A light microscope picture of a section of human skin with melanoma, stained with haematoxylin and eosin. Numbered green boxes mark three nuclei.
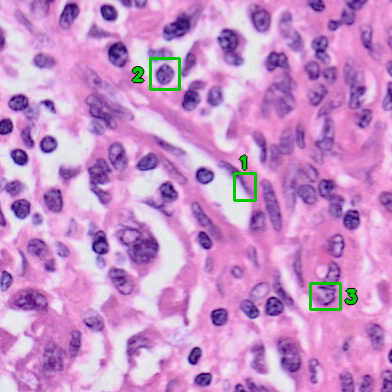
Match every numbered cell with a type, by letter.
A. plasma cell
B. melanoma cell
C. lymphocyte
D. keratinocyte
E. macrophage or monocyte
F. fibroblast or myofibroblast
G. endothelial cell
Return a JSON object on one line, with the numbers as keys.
{"1": "G", "2": "C", "3": "G"}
